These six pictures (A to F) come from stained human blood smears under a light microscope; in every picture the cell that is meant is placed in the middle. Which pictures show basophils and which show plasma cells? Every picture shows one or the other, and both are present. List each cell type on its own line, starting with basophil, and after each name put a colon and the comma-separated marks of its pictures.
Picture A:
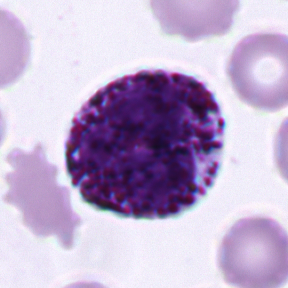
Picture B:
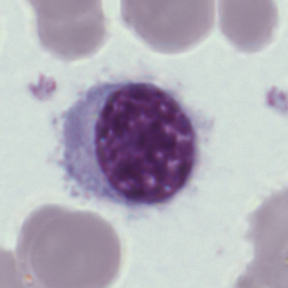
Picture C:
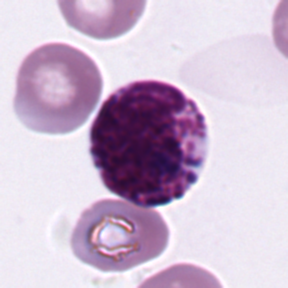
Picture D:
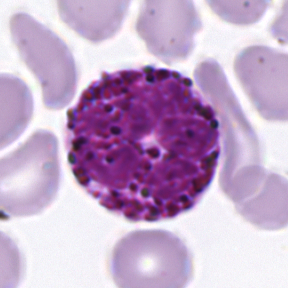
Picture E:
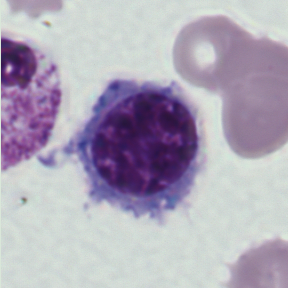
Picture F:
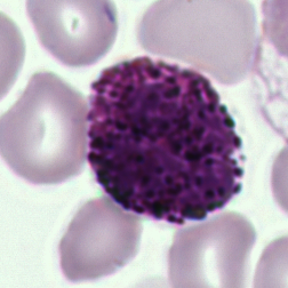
basophil: A, C, D, F
plasma cell: B, E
